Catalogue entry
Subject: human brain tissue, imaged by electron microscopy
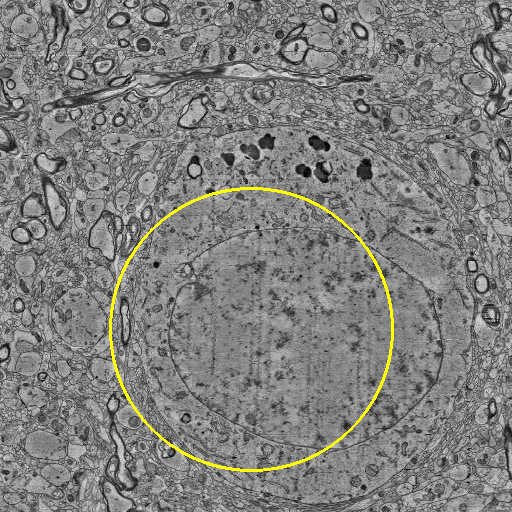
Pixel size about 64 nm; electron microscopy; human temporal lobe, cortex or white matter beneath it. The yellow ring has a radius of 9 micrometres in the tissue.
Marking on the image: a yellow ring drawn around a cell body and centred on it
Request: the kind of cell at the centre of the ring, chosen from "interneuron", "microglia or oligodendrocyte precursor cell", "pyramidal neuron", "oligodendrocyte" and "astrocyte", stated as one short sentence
The ring has a pyramidal neuron at its centre.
